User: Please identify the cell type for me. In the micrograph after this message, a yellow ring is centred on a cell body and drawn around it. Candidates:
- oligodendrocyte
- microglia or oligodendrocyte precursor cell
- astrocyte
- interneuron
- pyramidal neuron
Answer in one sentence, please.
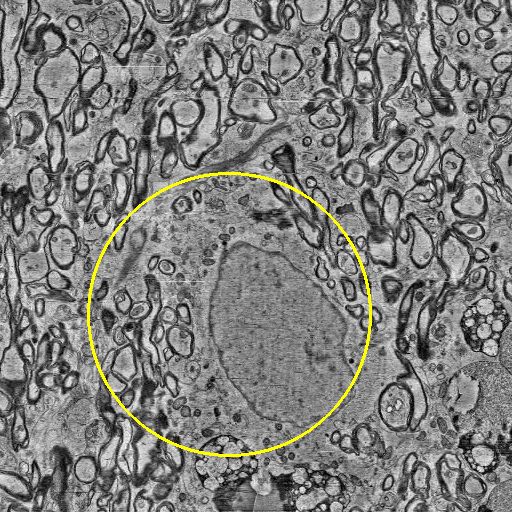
The ring is drawn around the cell body of an astrocyte.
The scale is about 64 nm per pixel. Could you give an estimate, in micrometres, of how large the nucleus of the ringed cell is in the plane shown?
The nucleus of the ringed cell is clearly longer than it is wide in this plane, about 13 by 8 micrometres.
